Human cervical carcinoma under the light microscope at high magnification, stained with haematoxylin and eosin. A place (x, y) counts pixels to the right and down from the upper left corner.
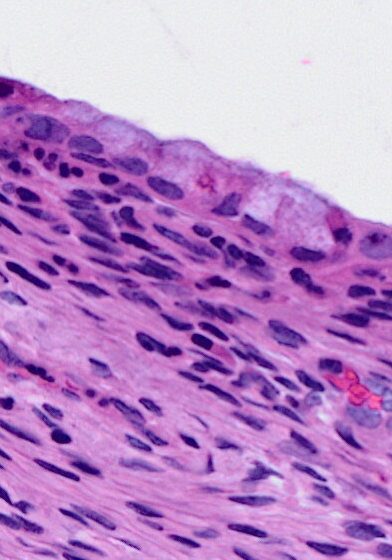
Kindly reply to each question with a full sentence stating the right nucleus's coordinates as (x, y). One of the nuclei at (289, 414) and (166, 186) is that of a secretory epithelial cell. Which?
Among the two, the nucleus at (166, 186) is the nucleus of a secretory epithelial cell.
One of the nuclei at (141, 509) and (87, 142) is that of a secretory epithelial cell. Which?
In this pair, the nucleus at (87, 142) belongs to a secretory epithelial cell.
